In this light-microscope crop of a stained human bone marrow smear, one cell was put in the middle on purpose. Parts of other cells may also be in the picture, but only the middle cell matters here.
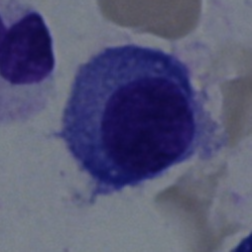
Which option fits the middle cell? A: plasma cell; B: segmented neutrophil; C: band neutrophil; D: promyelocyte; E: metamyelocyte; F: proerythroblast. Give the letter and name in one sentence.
The centrally positioned cell is a plasma cell, consistent with option A, which is correct.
